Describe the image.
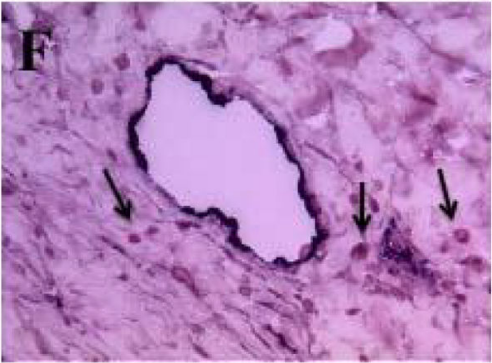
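A large vessel with an open lumen is lined by endothelial cells stained as a thin dark, nearly black border. Around it lies a loose stroma of elongated cells, among which small round red-stained infiltrating cells are scattered near the vessel.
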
